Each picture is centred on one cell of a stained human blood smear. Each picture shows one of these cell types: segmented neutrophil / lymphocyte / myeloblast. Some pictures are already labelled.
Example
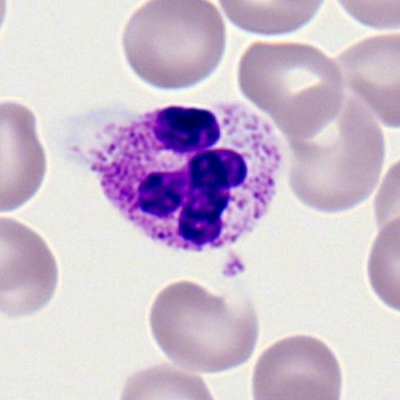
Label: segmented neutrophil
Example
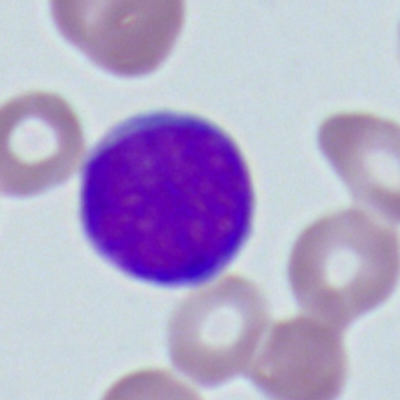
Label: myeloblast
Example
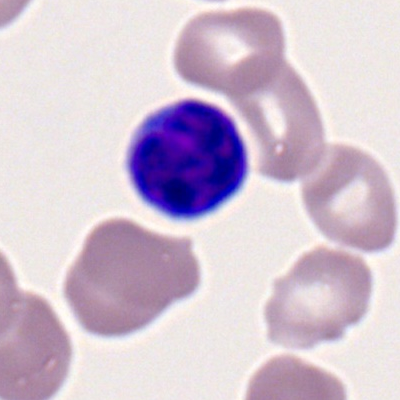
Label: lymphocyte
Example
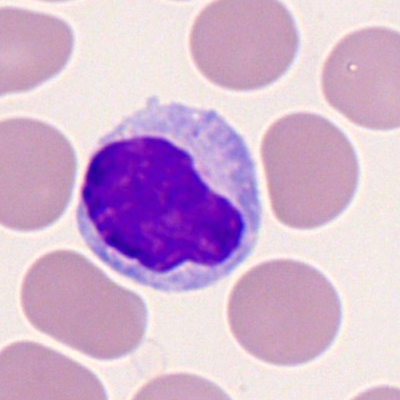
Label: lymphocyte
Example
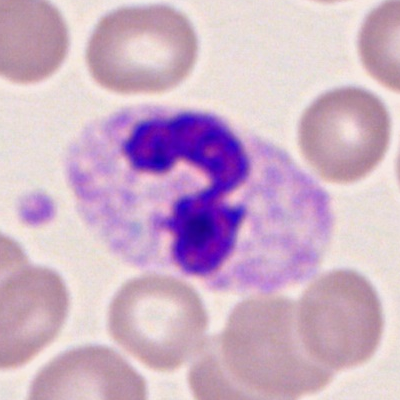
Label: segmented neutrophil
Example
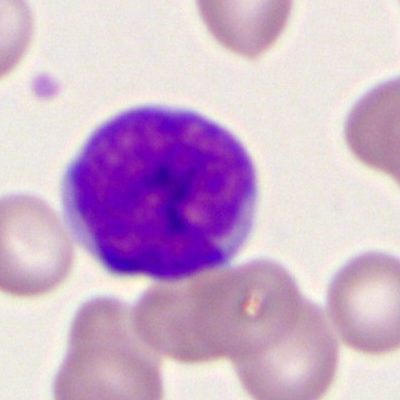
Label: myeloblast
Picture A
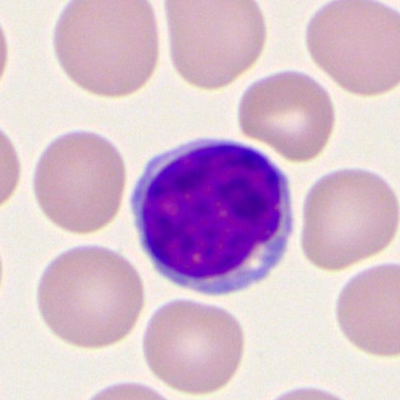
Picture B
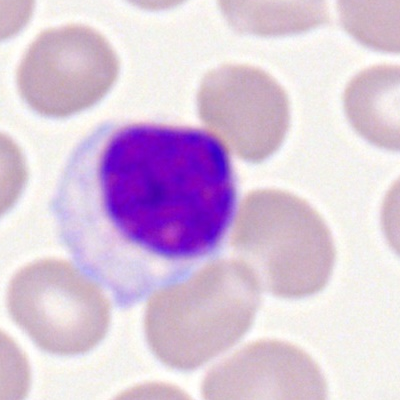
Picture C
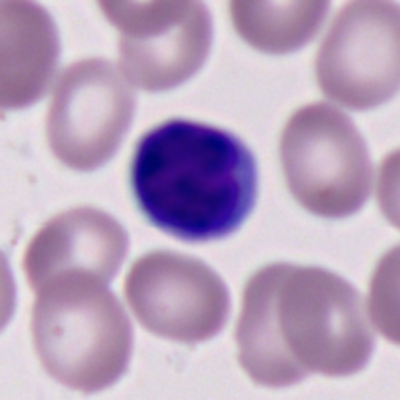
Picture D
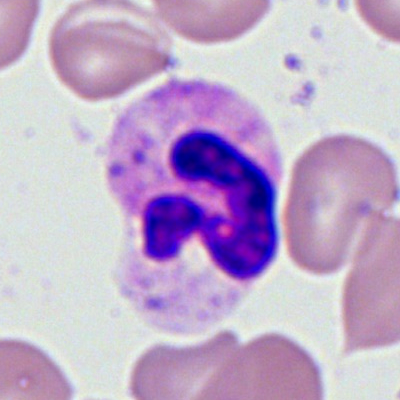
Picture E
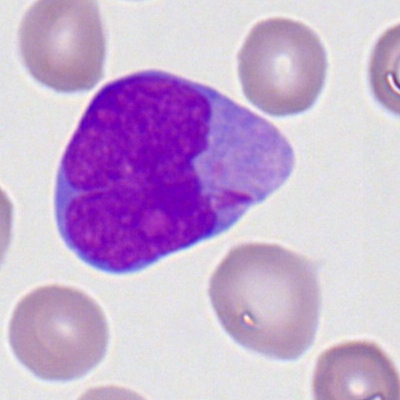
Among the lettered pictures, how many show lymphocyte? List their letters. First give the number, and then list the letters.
Count: 3 (A, B, C)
